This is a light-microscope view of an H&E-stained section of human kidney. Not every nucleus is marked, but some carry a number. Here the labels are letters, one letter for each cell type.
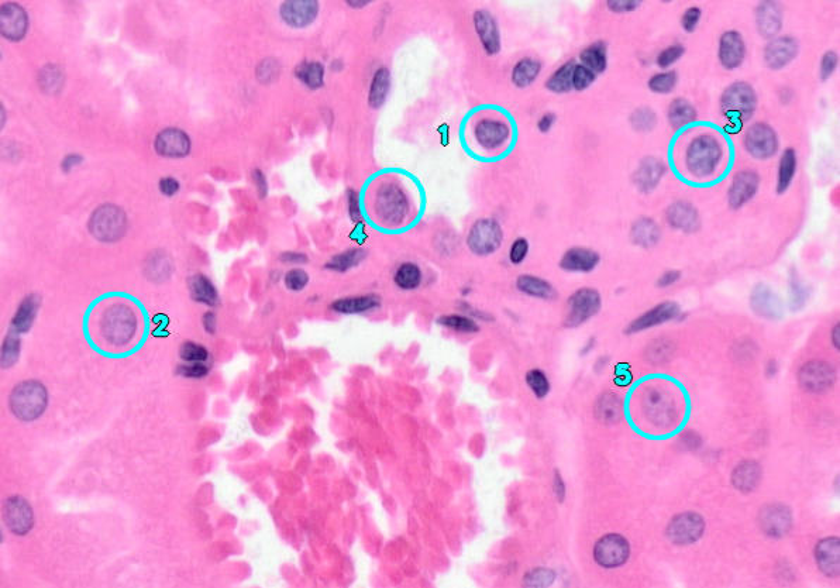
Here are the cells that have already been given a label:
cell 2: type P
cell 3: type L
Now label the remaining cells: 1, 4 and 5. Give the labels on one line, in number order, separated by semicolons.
type L; type L; type P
